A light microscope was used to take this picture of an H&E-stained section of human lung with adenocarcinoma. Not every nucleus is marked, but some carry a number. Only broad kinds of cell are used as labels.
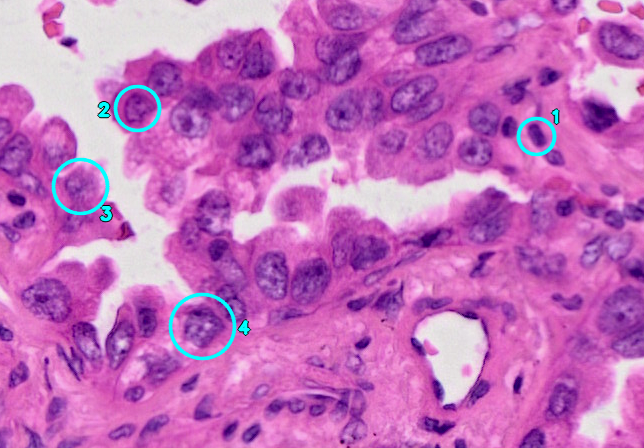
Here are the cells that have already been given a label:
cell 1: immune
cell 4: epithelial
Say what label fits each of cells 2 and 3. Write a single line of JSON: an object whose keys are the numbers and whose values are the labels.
{"2": "epithelial", "3": "epithelial"}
